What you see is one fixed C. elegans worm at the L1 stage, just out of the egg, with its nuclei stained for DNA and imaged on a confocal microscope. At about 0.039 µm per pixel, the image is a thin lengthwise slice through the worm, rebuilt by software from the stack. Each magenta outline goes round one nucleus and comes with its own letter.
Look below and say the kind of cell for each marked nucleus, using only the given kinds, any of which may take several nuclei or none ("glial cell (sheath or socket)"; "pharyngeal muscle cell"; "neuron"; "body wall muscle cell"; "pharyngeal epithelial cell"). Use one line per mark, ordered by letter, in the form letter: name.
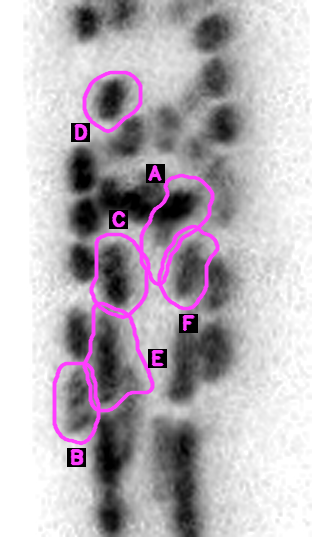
A: pharyngeal muscle cell
B: body wall muscle cell
C: neuron
D: neuron
E: pharyngeal epithelial cell
F: neuron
